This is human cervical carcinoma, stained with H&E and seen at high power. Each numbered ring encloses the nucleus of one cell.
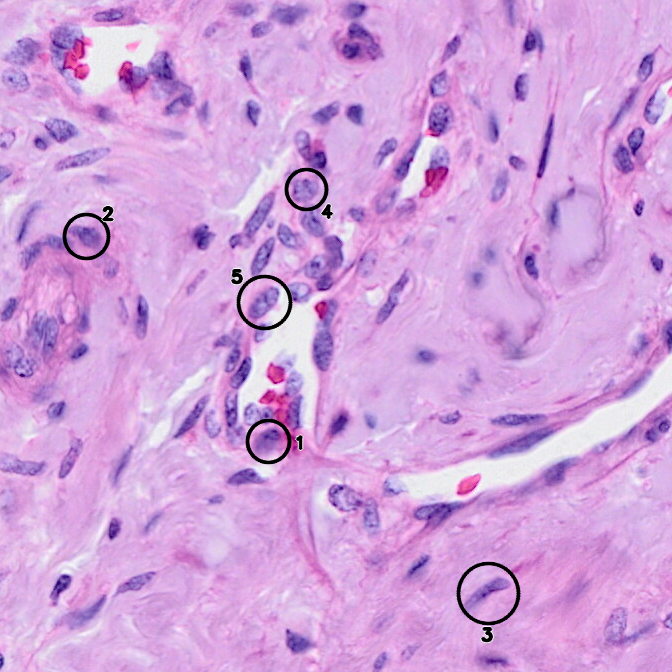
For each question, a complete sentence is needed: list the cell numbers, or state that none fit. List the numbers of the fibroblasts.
The one cell that is a fibroblast is cell 3, and no other.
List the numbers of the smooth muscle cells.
Only the cell marked 2 is a smooth muscle cell.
